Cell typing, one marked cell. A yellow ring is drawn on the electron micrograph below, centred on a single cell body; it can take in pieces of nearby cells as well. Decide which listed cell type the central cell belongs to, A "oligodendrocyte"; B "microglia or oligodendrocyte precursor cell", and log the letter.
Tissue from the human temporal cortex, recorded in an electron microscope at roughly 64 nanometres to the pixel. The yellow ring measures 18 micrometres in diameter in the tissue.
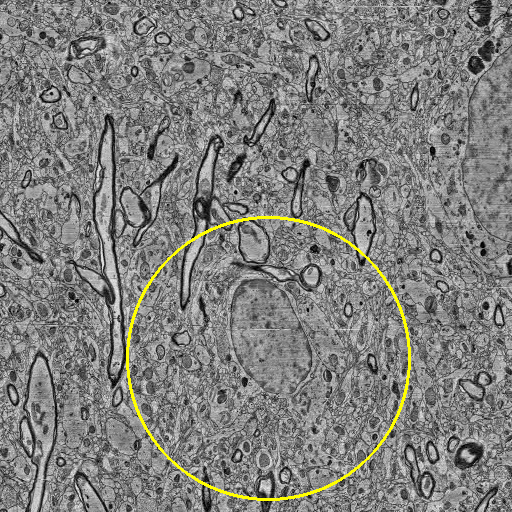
B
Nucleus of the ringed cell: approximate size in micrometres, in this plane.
The nucleus comes to approximately 8 by 5 micrometres and is clearly longer than it is wide in this plane.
